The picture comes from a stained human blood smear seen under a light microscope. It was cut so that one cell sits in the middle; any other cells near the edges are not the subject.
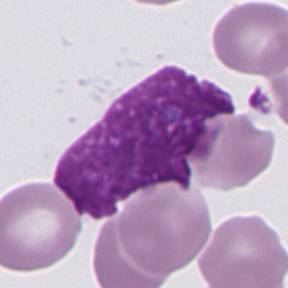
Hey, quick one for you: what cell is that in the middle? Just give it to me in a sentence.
As for the central cell, it is a smudge cell.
